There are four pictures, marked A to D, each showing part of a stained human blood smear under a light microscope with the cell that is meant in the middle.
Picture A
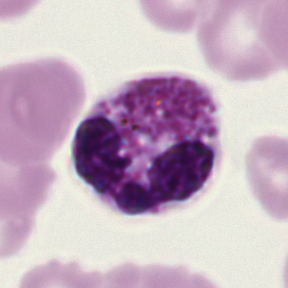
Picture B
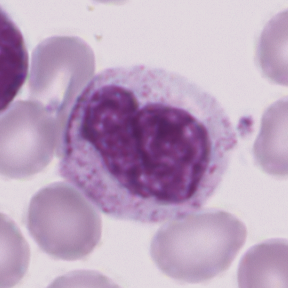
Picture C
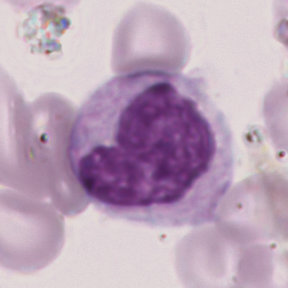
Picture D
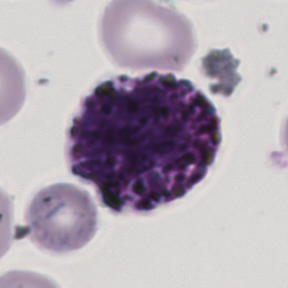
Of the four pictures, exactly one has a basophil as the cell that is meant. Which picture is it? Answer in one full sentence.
Picture D is the one that shows the basophil.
